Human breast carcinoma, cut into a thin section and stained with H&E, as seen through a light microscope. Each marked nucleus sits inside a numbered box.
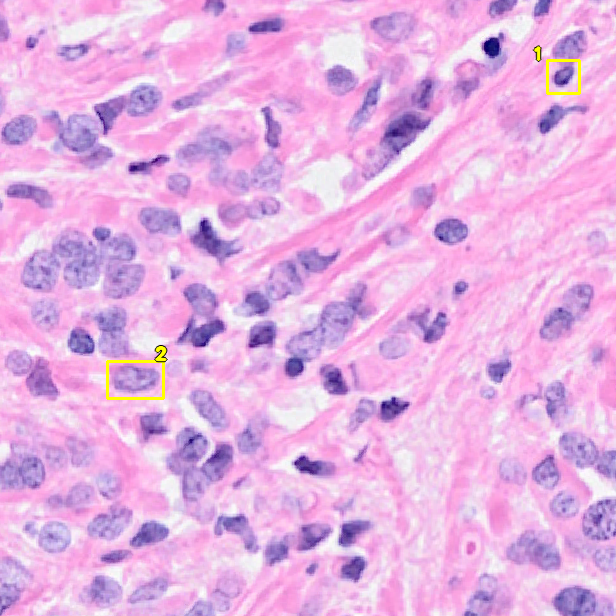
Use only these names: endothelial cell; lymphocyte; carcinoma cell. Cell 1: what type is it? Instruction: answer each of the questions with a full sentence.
Among the marked nuclei, number 1 belongs to a lymphocyte.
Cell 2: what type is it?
The cell with the number 2 is a carcinoma cell.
